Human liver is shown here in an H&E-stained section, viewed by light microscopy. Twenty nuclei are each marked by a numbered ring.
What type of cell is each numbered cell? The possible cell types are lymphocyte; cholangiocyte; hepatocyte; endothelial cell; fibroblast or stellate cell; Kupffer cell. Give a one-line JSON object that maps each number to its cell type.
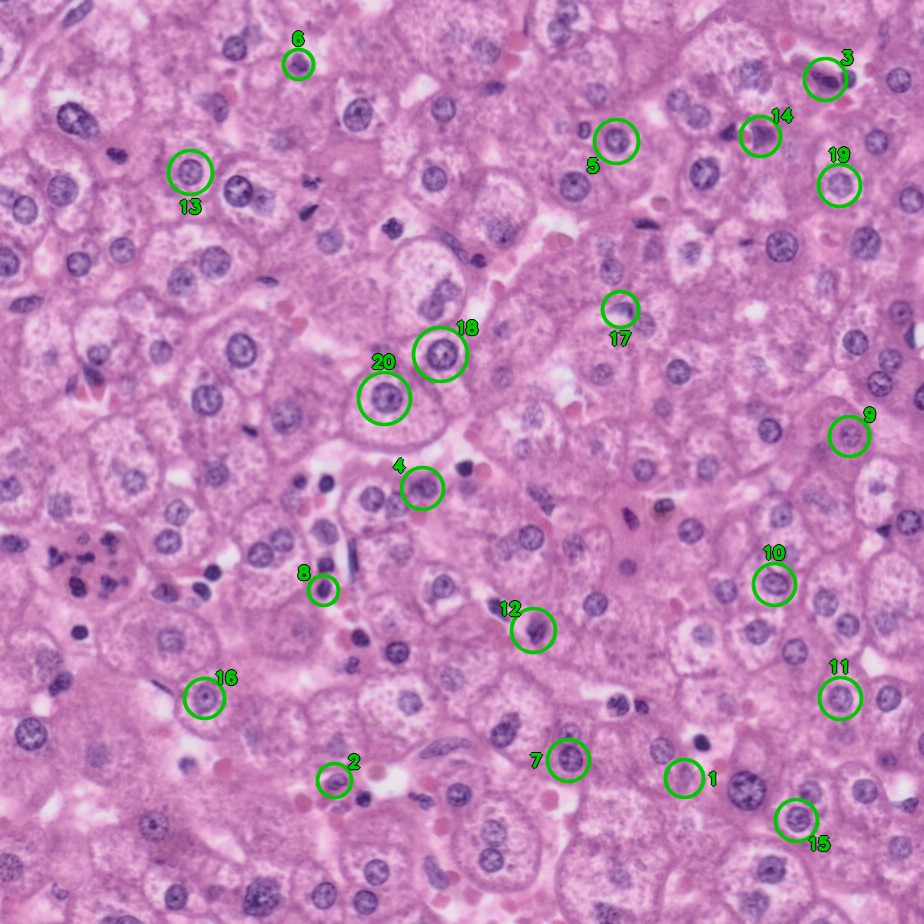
{"1": "Kupffer cell", "2": "Kupffer cell", "3": "Kupffer cell", "4": "Kupffer cell", "5": "hepatocyte", "6": "Kupffer cell", "7": "hepatocyte", "8": "lymphocyte", "9": "hepatocyte", "10": "hepatocyte", "11": "hepatocyte", "12": "endothelial cell", "13": "hepatocyte", "14": "endothelial cell", "15": "hepatocyte", "16": "hepatocyte", "17": "endothelial cell", "18": "hepatocyte", "19": "hepatocyte", "20": "hepatocyte"}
